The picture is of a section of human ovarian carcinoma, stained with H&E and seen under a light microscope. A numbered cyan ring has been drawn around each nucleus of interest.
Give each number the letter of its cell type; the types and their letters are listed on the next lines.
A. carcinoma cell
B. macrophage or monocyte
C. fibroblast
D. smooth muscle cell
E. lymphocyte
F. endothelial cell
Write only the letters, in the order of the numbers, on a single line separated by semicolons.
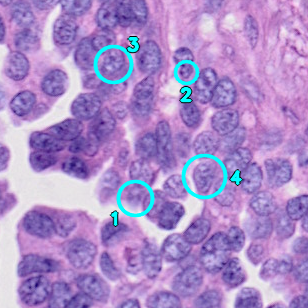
A; B; A; A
